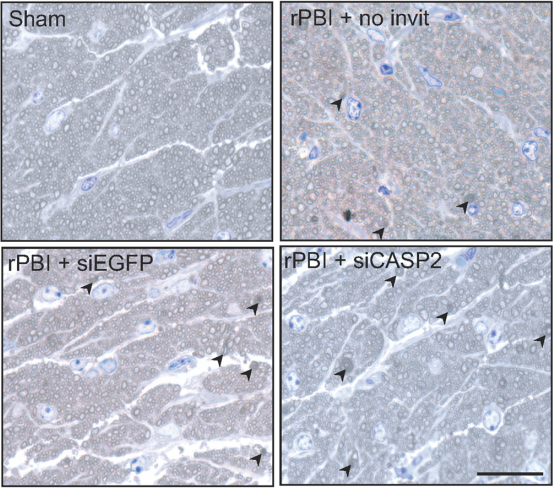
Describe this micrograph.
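Four fields of a nerve in cross-section are packed with many small round profiles, each a pale centre inside a dark ring, gathered into bundles. Pale septa separate the bundles, and oval blue-stained nuclei lie in and along them. Here and there, arrowheads point to profiles that are dark and dense instead of pale-centred. These dark profiles look like degenerating axons among intact myelinated axons.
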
